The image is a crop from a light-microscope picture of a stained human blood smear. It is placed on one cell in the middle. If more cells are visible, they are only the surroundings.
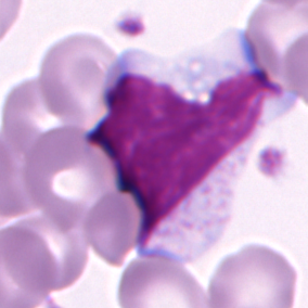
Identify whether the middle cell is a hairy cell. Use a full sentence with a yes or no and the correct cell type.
No, a large granular lymphocyte rather than a hairy cell is the cell at the centre of the crop.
